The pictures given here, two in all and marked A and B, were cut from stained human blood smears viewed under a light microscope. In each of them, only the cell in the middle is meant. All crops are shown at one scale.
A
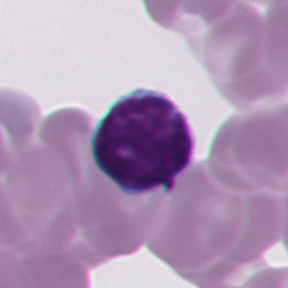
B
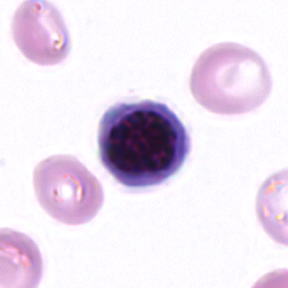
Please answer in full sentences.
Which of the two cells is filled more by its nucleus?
It is the cell in crop A that is filled more by its nucleus.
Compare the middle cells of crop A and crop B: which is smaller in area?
Crop B holds the smaller cell, since the cell in crop A covers about 1.5 times as much area.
